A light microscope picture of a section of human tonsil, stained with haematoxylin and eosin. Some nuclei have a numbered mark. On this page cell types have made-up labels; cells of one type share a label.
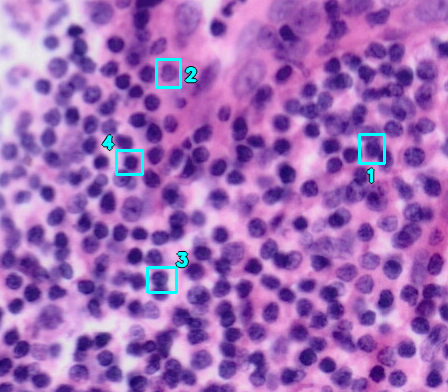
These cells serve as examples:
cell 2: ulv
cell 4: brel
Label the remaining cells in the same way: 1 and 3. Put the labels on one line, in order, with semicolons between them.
brel; brel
